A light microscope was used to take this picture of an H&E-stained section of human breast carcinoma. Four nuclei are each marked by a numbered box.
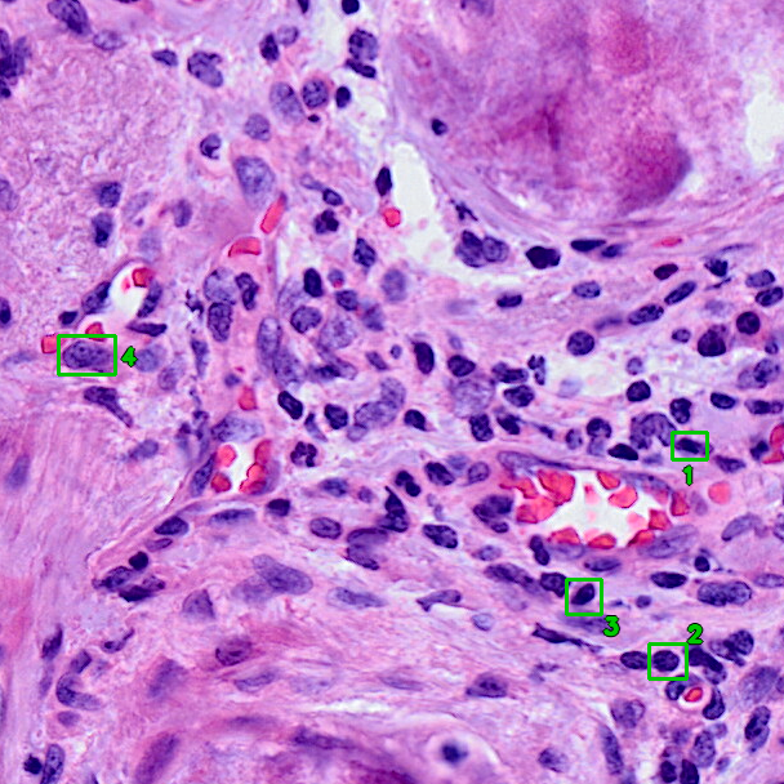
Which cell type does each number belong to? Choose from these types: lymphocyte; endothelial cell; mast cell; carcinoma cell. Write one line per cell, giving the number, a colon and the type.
1: lymphocyte
2: lymphocyte
3: lymphocyte
4: endothelial cell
